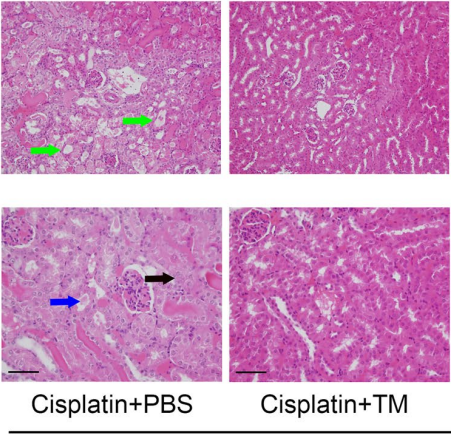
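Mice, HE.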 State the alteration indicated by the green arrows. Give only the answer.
Tubular dilatation.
